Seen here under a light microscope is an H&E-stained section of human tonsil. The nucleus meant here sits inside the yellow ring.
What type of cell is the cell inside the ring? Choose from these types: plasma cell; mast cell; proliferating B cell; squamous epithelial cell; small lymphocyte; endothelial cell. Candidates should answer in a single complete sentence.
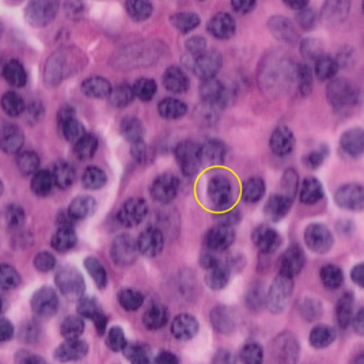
In this field of tissue, the cell inside the ring is a plasma cell.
